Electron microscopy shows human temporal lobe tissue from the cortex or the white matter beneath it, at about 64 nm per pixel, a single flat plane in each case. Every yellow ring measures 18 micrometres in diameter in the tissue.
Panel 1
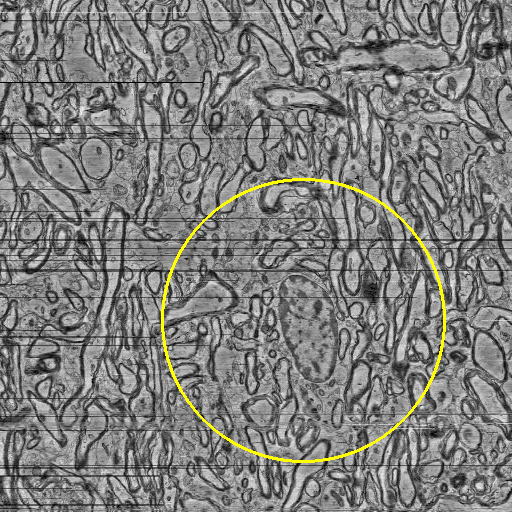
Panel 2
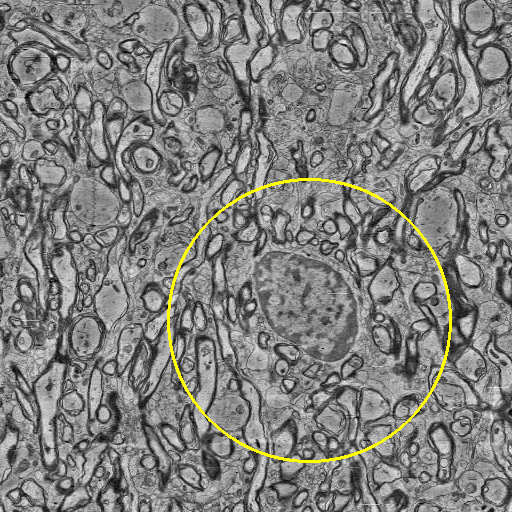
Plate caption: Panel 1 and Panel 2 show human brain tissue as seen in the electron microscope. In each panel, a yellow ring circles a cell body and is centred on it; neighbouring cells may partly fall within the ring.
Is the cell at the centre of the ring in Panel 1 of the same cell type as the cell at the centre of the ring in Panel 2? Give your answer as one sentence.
Yes, the two cells are of the same type.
